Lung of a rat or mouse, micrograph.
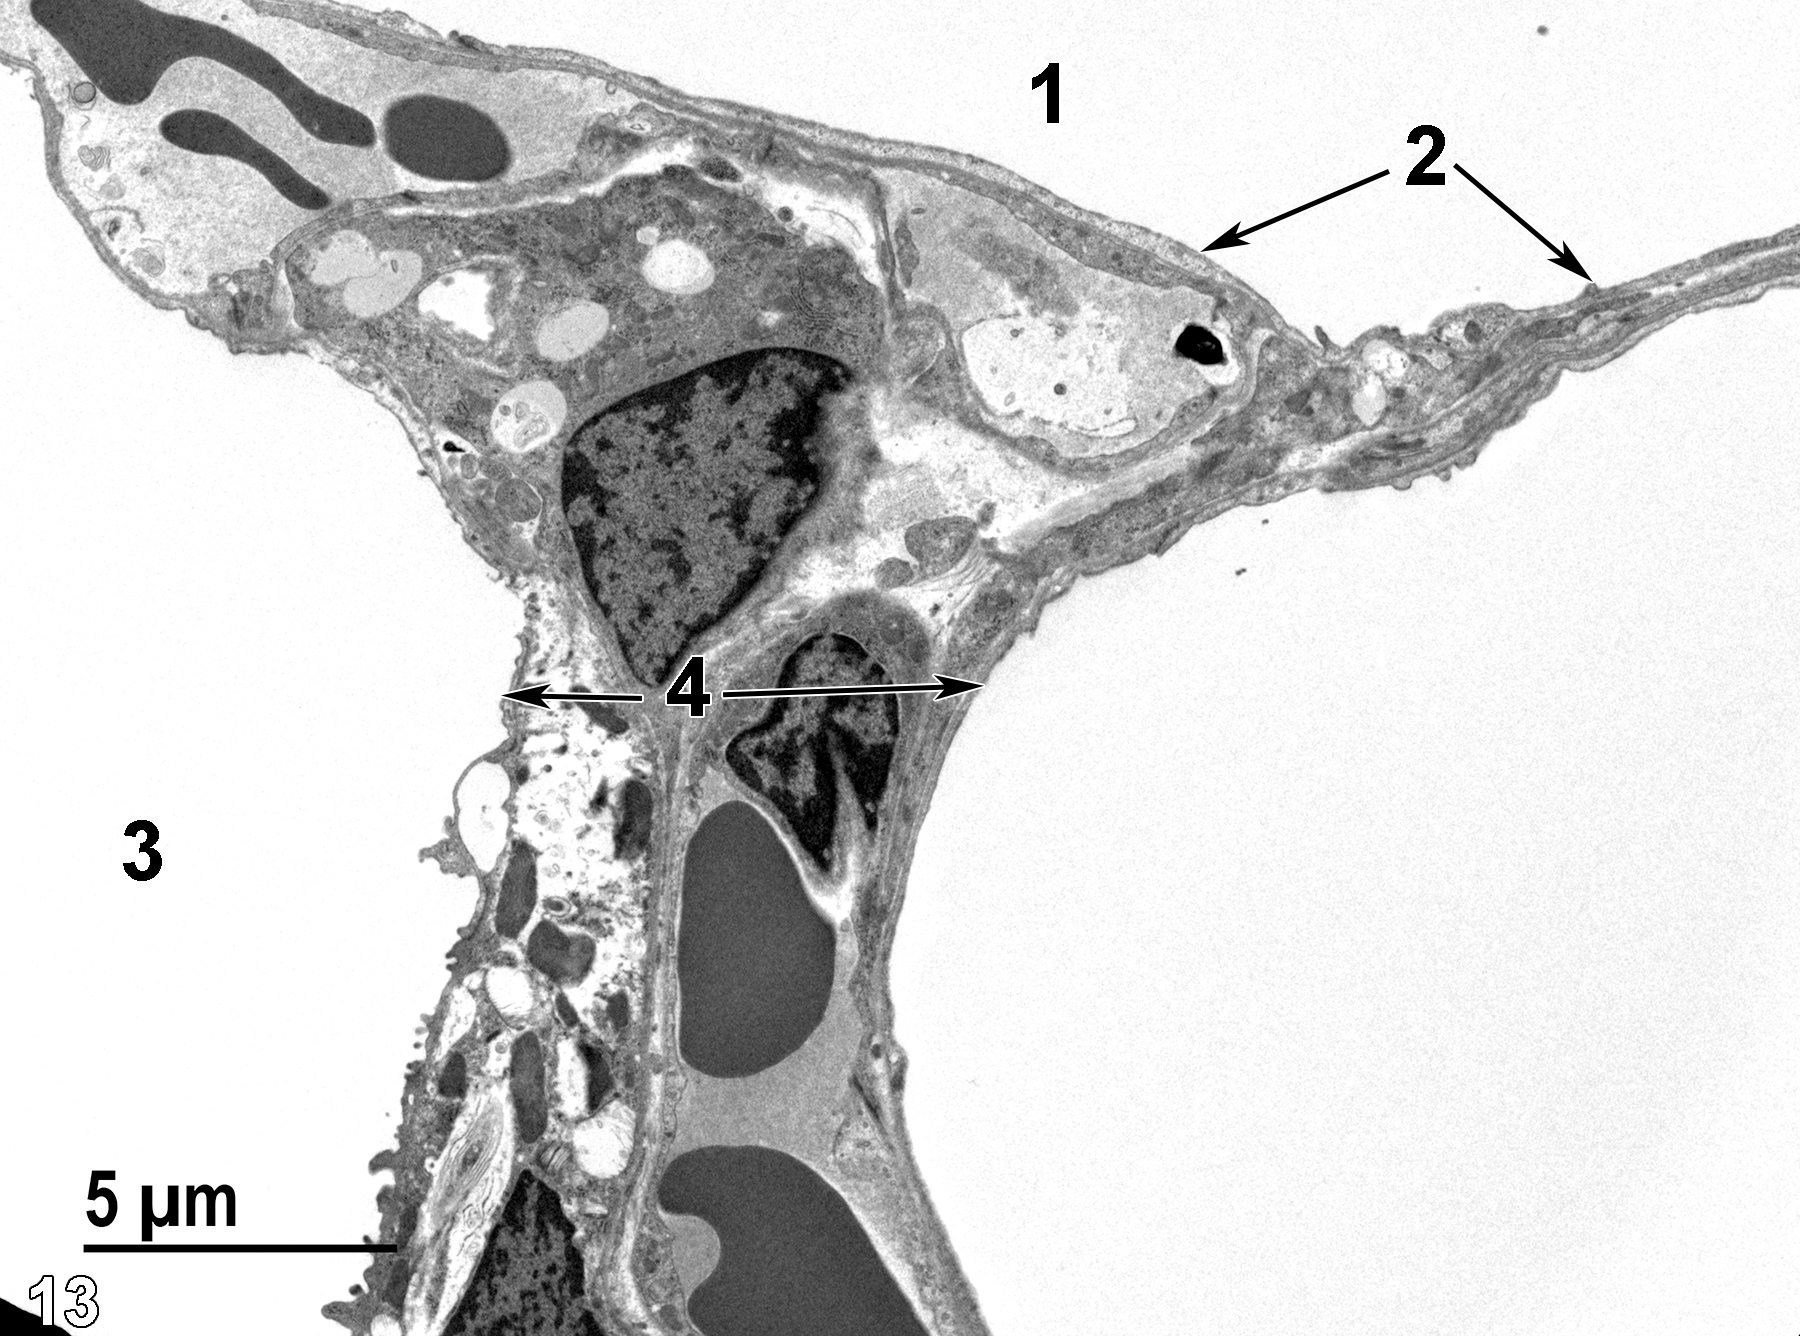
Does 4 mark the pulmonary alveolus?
No. The alveolar septum.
